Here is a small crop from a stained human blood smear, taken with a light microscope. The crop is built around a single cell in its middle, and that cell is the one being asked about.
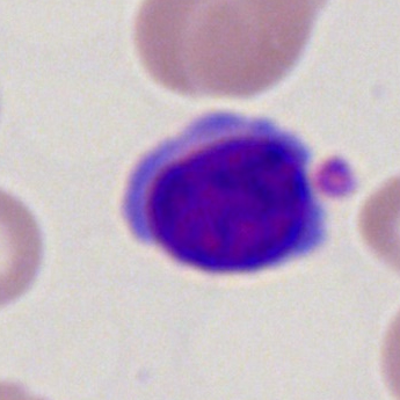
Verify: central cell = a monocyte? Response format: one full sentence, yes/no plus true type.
No, the cell sitting in the middle is a lymphocyte, and it is not a monocyte.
